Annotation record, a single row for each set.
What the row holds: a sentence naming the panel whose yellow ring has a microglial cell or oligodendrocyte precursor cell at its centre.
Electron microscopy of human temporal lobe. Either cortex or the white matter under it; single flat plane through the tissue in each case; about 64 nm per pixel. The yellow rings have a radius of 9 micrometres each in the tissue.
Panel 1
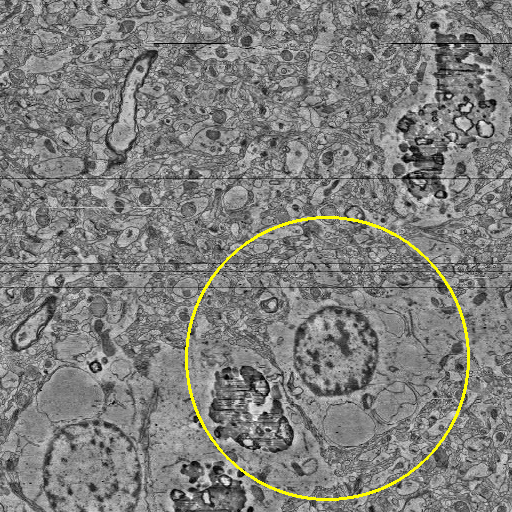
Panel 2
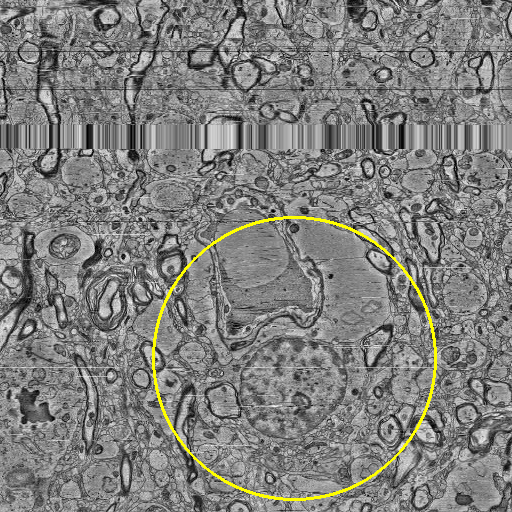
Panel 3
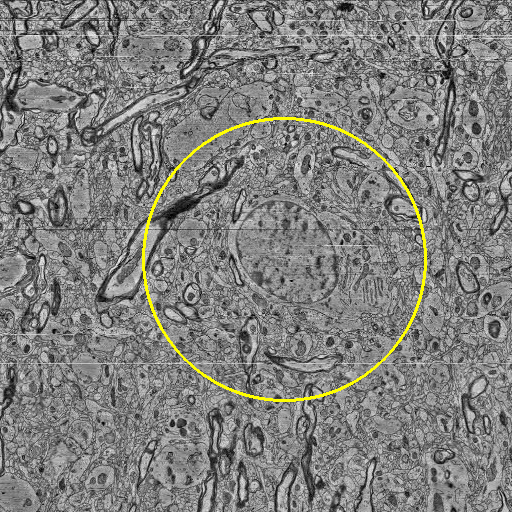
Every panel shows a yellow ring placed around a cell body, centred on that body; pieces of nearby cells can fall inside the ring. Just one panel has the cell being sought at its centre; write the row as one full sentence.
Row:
In panel 3, the cell at the middle of the yellow ring is the one sought.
